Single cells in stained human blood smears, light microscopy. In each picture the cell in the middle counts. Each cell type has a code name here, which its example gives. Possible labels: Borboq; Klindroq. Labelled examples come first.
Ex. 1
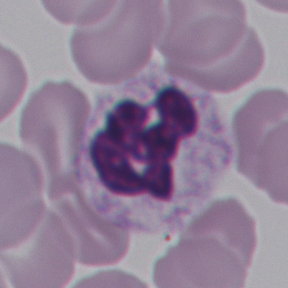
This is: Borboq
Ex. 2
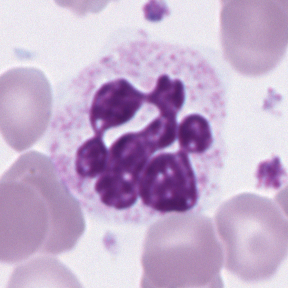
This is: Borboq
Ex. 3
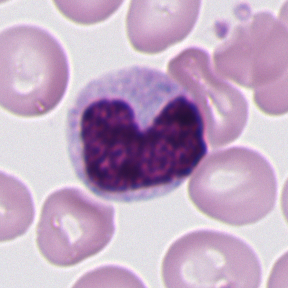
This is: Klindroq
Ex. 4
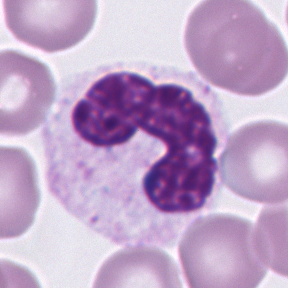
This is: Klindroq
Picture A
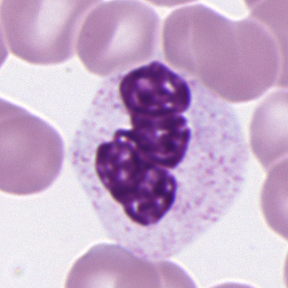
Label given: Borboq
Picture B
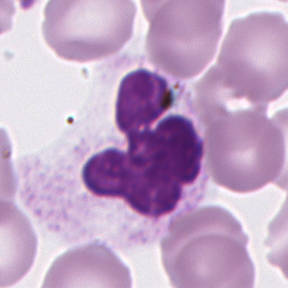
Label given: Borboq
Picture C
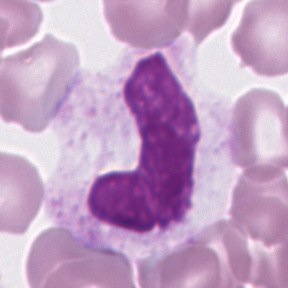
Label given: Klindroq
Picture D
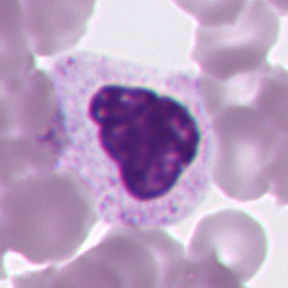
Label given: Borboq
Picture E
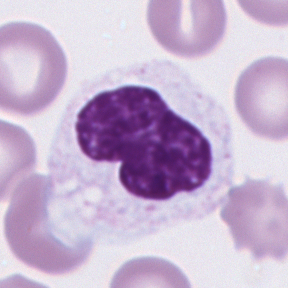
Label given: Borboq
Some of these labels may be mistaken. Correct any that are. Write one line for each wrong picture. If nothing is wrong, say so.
E: change Borboq to Klindroq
